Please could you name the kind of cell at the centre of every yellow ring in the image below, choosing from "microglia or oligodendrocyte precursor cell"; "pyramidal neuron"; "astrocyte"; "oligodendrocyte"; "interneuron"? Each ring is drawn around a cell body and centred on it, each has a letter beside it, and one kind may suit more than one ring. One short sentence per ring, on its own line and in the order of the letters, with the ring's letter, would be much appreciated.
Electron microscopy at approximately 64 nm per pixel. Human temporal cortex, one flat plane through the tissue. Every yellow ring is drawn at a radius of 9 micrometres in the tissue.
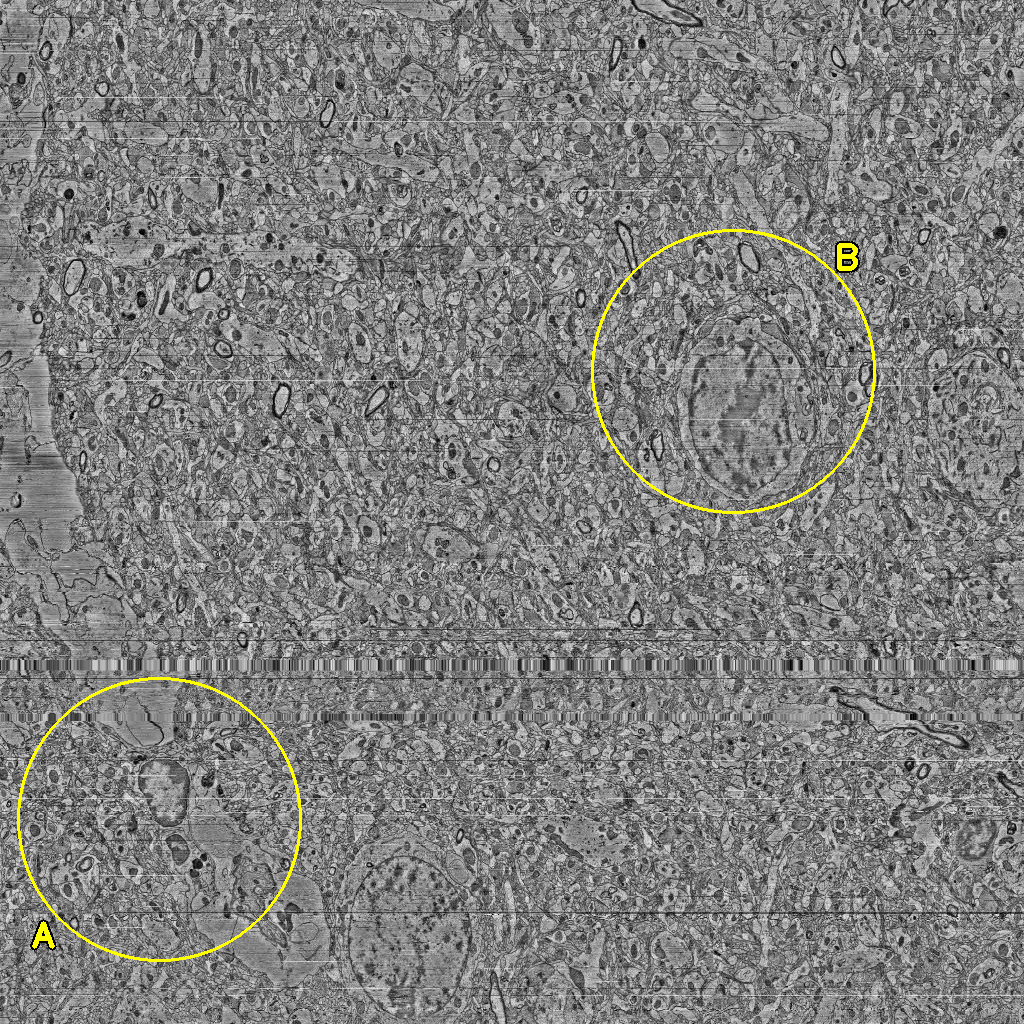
The cell in the middle of ring A is a microglial cell or oligodendrocyte precursor cell.
The cell in the middle of ring B is an interneuron.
